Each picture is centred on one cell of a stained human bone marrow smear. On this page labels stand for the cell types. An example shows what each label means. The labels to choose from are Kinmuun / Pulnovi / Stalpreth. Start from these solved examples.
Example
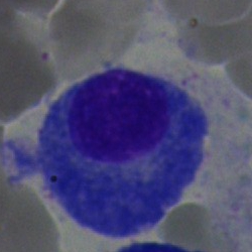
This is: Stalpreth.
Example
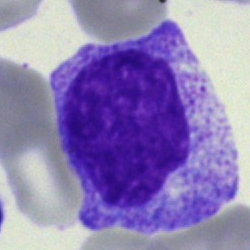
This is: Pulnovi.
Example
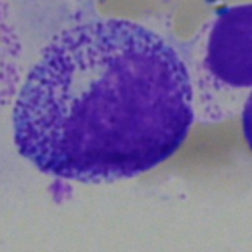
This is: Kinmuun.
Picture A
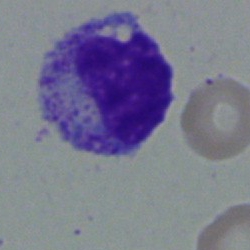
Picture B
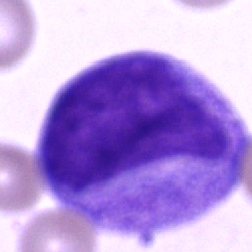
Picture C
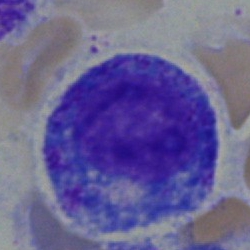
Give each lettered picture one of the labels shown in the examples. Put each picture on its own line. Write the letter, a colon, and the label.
A: Kinmuun.
B: Pulnovi.
C: Pulnovi.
